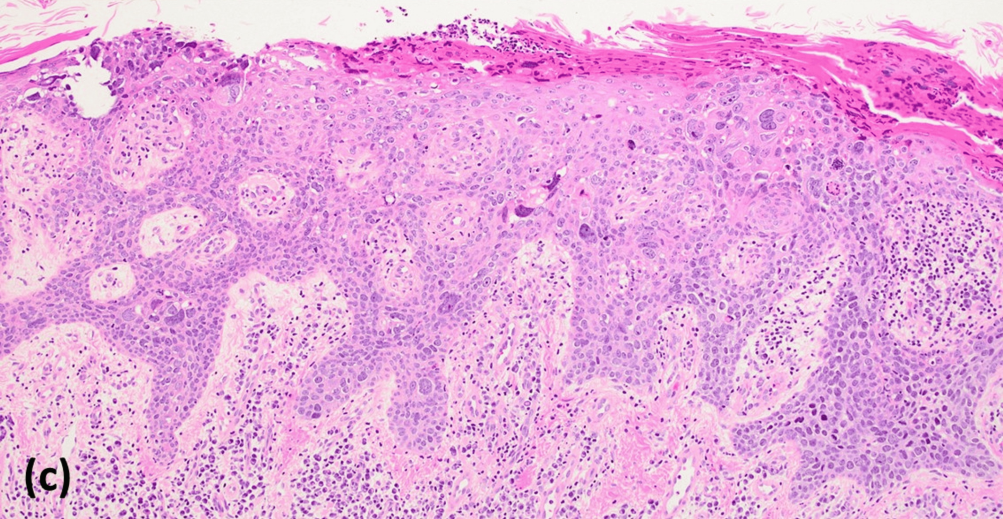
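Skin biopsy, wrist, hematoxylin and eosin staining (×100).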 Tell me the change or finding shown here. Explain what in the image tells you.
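Scattered epidermal cells have several crowded nuclei or dark, clumped nuclear material. That points to this answer: clumping cells.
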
